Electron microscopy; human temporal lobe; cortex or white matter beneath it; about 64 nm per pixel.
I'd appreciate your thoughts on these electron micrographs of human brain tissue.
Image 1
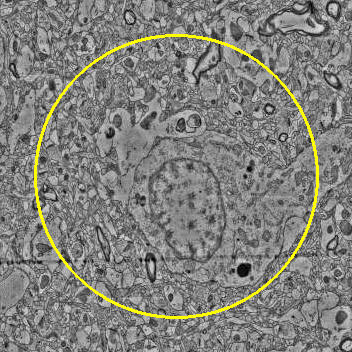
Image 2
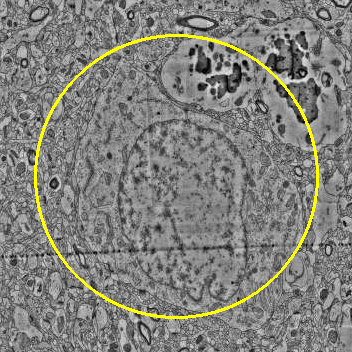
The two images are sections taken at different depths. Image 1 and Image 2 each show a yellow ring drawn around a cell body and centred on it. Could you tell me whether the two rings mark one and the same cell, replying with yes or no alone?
yes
